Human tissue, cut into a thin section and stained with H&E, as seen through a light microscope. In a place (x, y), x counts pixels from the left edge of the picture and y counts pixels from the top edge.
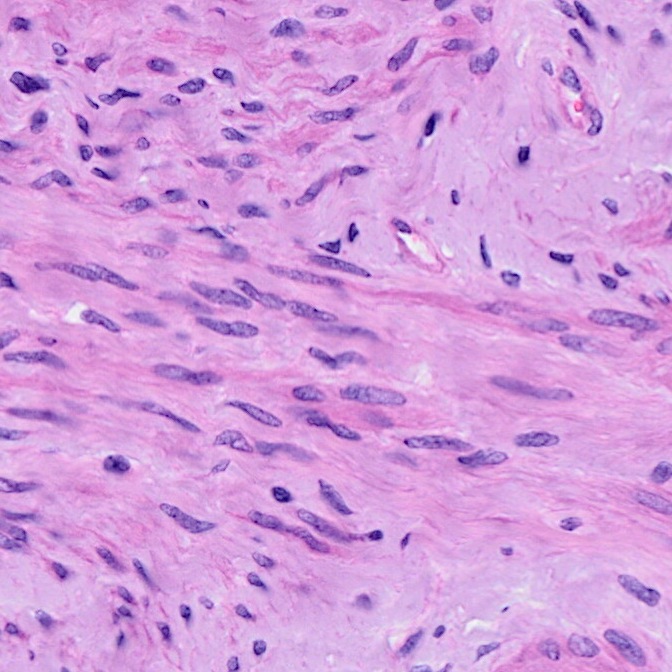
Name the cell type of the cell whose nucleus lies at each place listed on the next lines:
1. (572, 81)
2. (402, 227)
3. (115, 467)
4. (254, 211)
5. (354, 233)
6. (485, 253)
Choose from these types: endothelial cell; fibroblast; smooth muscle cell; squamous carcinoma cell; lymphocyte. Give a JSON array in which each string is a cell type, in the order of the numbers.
["endothelial cell", "endothelial cell", "lymphocyte", "fibroblast", "fibroblast", "fibroblast"]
